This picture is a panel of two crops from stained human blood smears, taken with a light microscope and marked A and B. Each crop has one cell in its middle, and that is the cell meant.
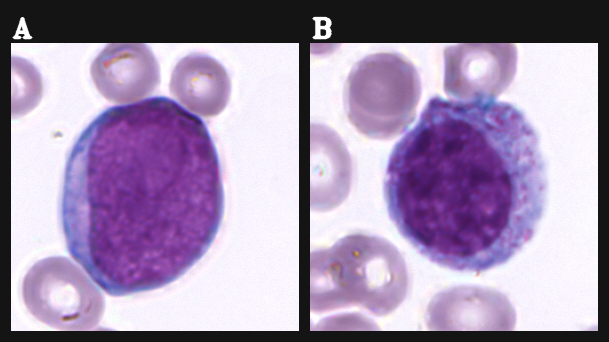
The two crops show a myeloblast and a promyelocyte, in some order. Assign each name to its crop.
A: myeloblast
B: promyelocyte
